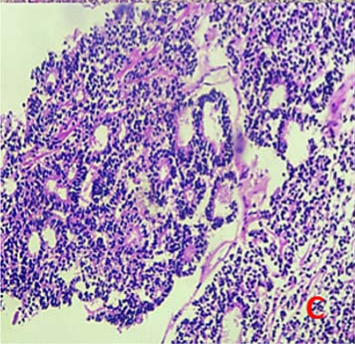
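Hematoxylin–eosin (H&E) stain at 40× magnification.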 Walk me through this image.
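Tumor tissue with sheets of small blastemal cells that have dark blue, rounded, overlapping nuclei and scant cytoplasm. Among them lie small primitive tubular structures, rings of crowded columnar cells around a small lumen, set in a loose pale pink stroma.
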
